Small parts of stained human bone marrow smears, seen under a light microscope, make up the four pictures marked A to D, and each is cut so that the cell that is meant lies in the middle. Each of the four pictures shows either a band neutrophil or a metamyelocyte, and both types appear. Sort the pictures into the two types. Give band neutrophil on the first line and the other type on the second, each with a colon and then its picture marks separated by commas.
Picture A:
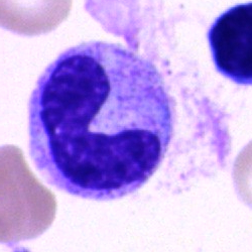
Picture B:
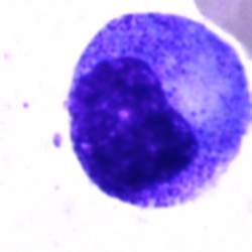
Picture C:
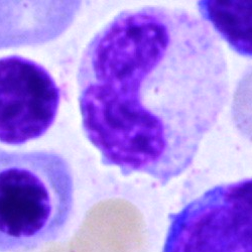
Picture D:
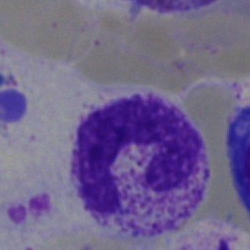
band neutrophil: A, C, D
metamyelocyte: B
